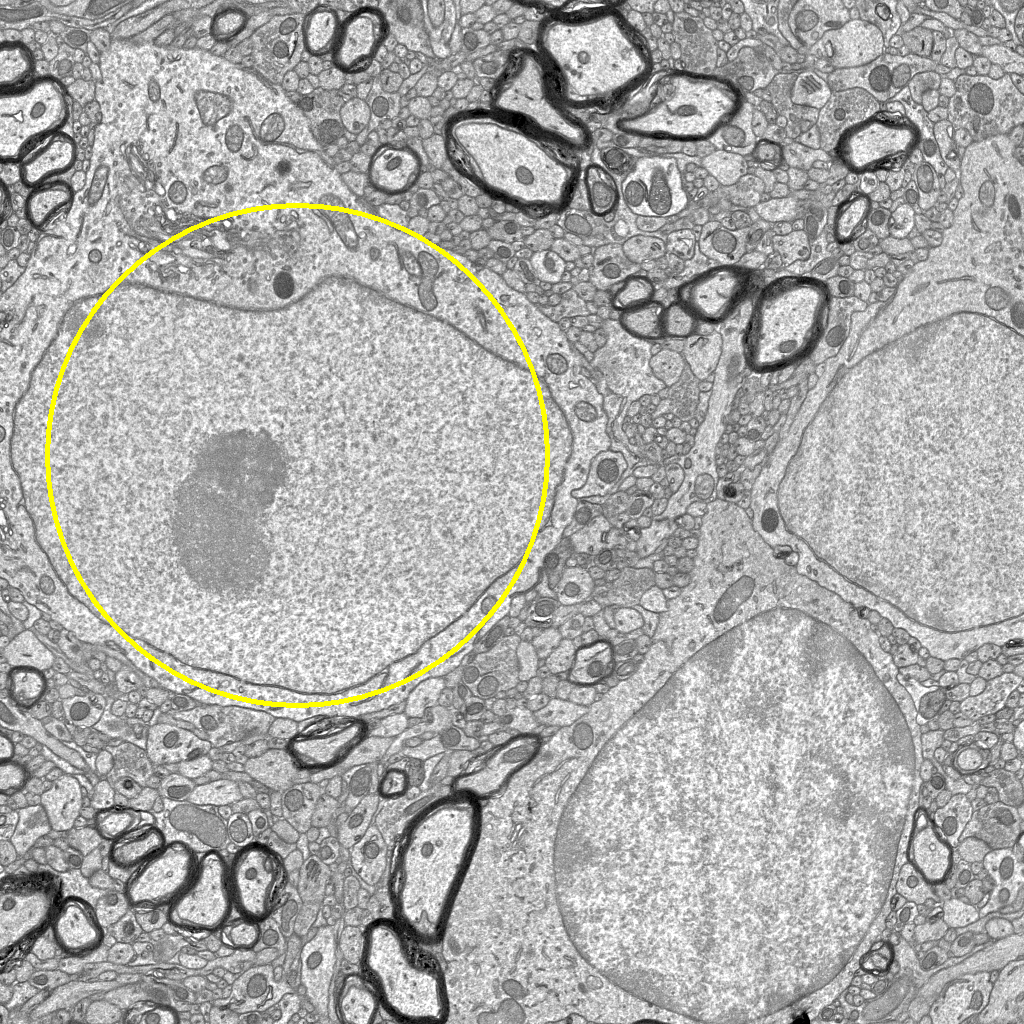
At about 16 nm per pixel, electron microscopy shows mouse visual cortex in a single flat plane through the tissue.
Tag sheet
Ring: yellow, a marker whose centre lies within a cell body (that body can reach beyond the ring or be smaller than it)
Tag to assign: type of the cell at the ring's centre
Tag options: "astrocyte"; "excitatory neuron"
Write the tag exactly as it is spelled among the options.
excitatory neuron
